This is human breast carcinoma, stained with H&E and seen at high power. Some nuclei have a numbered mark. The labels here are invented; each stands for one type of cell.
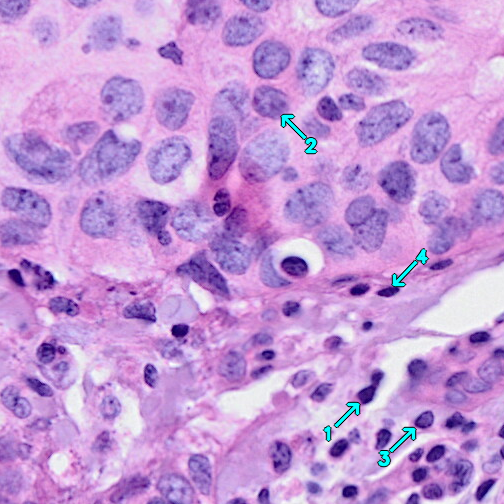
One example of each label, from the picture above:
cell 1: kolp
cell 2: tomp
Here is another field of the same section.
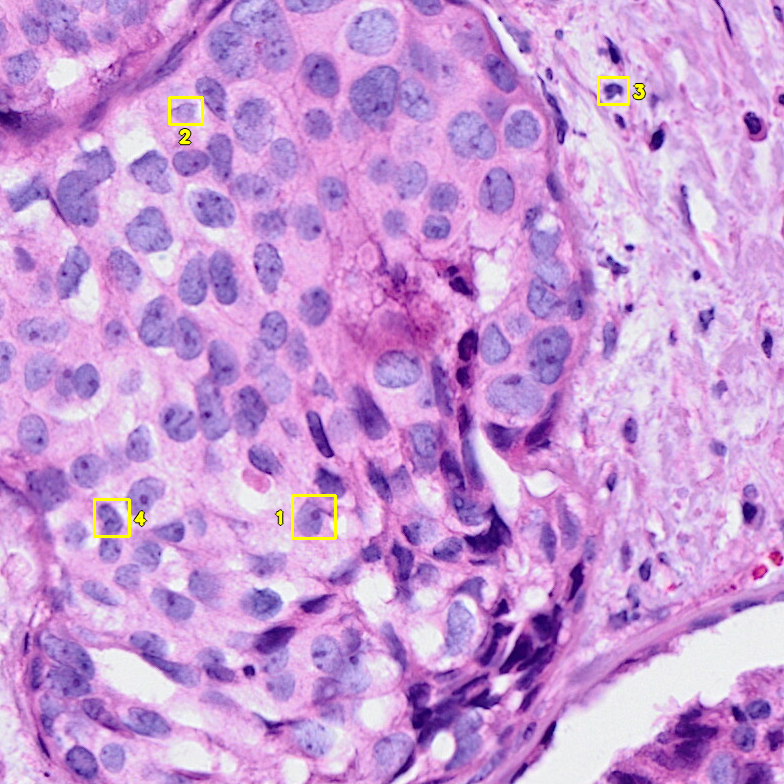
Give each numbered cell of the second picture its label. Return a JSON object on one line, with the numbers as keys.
{"1": "tomp", "2": "tomp", "3": "kolp", "4": "tomp"}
